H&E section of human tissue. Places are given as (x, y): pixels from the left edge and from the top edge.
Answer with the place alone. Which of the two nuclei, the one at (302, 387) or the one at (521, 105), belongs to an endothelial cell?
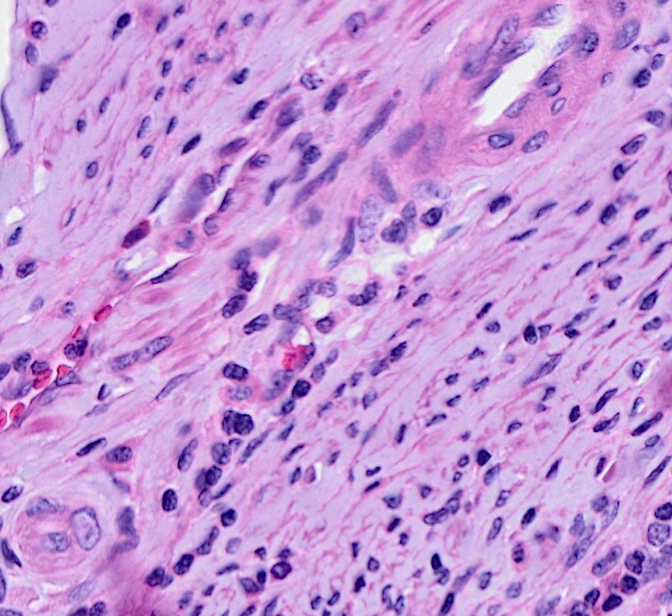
(521, 105)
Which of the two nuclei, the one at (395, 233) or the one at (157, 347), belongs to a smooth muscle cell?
(157, 347)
